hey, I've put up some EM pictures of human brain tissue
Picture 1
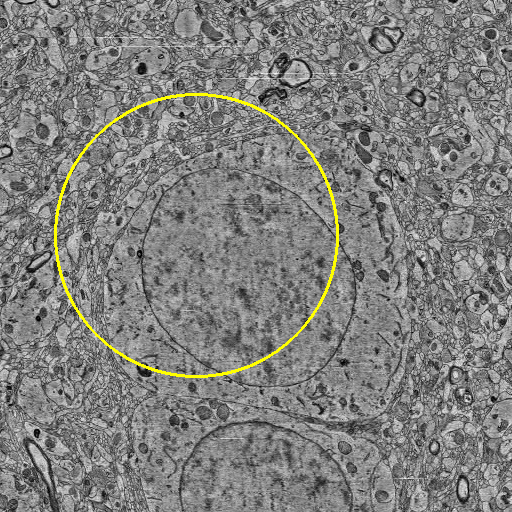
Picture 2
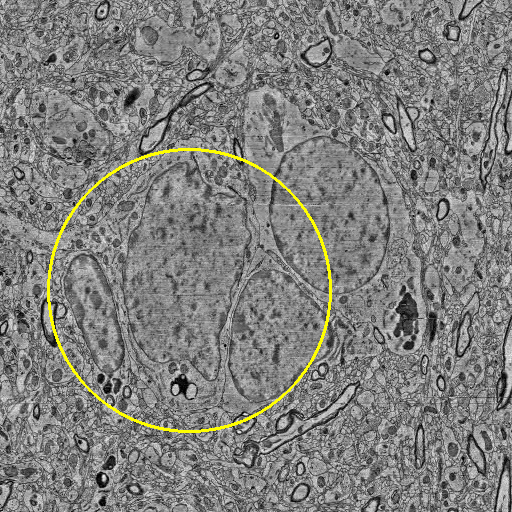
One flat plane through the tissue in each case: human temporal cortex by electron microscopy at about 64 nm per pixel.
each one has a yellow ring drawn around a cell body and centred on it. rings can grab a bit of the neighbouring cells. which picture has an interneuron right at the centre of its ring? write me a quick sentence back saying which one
It's Picture 2.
